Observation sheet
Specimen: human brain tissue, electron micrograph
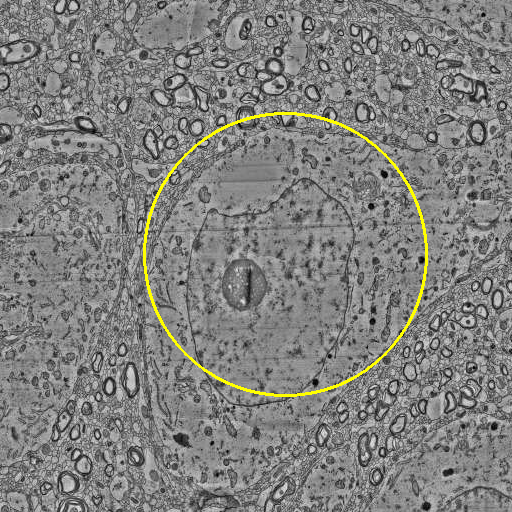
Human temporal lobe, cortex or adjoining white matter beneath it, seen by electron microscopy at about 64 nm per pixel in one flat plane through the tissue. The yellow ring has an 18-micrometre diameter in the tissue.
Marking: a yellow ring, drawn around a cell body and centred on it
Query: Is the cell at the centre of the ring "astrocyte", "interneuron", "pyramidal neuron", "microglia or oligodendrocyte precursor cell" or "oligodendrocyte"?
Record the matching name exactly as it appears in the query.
pyramidal neuron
